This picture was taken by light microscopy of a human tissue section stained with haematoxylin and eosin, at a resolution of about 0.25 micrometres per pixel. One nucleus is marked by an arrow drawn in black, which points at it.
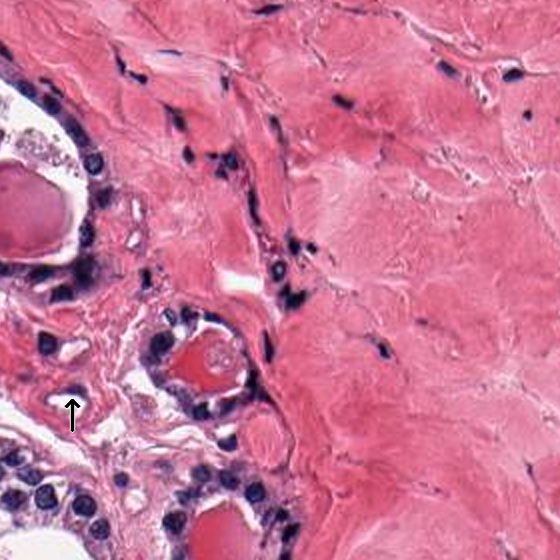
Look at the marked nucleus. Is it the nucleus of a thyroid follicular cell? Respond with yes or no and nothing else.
no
